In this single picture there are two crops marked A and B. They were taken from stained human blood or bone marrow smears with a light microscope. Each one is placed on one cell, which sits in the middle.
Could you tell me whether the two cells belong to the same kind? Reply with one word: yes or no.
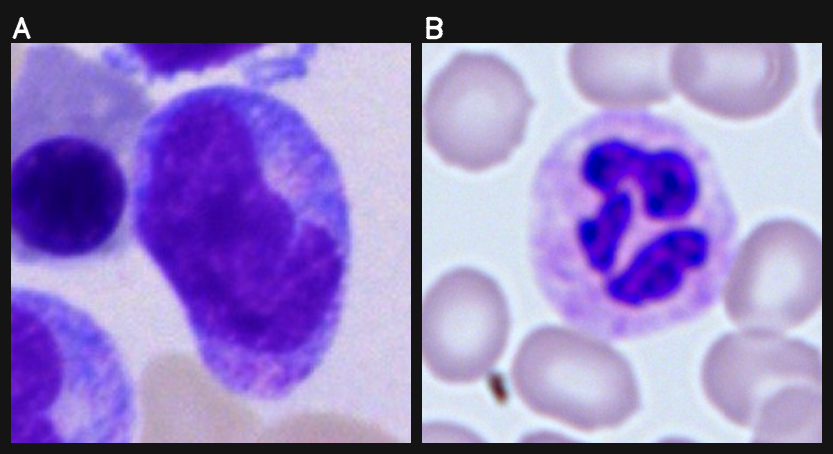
no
